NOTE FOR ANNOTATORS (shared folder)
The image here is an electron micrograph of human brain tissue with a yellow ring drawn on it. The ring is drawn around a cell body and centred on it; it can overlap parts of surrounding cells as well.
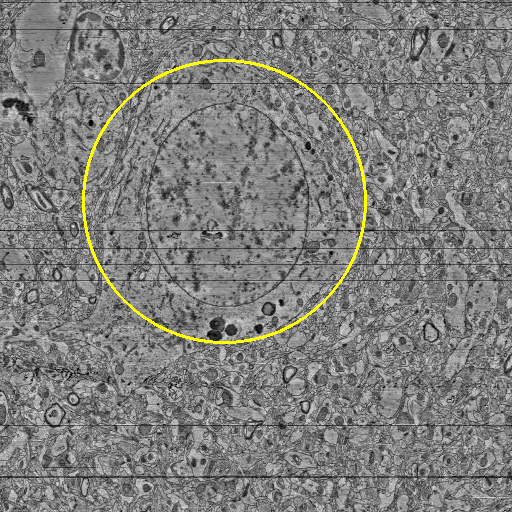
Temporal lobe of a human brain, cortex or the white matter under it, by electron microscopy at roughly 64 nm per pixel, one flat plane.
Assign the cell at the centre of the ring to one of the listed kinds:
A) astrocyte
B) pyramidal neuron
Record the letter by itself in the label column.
B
